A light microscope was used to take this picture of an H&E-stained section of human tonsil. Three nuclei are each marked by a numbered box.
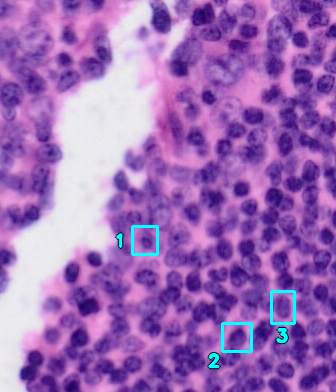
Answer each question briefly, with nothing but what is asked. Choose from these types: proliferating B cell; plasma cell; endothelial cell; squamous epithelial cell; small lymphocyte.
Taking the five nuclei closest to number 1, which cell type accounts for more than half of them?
proliferating B cell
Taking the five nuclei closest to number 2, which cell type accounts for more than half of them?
small lymphocyte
